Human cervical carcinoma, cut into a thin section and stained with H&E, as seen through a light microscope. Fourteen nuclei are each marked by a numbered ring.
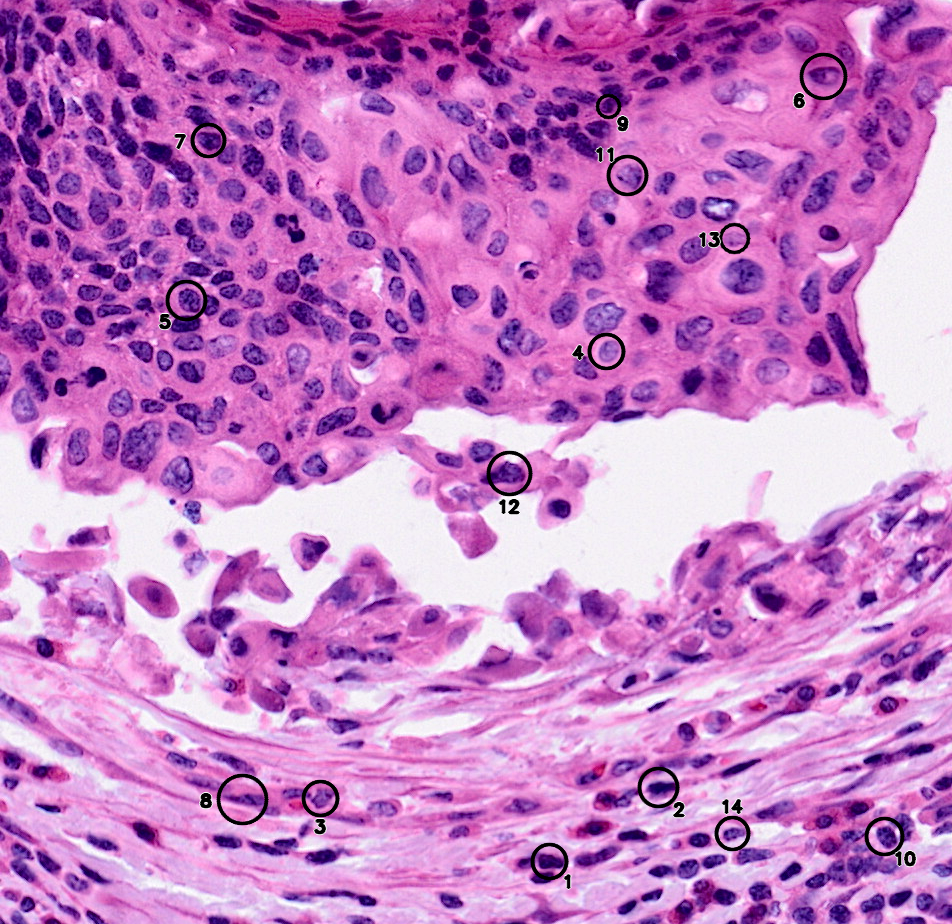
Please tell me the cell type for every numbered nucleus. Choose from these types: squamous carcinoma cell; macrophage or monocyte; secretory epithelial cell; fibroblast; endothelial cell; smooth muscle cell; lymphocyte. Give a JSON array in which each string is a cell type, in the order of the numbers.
["lymphocyte", "lymphocyte", "endothelial cell", "squamous carcinoma cell", "squamous carcinoma cell", "squamous carcinoma cell", "squamous carcinoma cell", "endothelial cell", "squamous carcinoma cell", "lymphocyte", "squamous carcinoma cell", "squamous carcinoma cell", "squamous carcinoma cell", "lymphocyte"]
